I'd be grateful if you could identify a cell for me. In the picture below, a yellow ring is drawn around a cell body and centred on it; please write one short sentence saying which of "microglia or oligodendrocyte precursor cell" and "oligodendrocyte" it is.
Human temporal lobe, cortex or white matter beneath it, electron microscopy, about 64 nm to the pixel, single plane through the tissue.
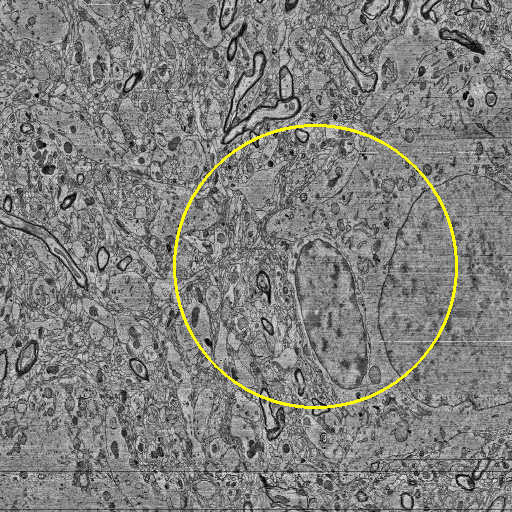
The cell under the ring's centre is a microglial cell or oligodendrocyte precursor cell.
